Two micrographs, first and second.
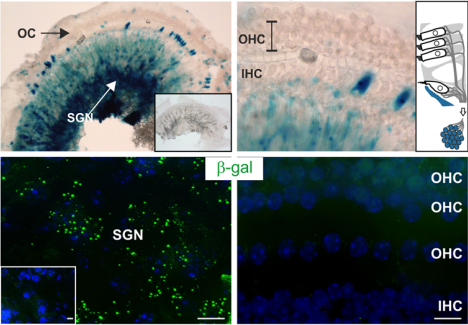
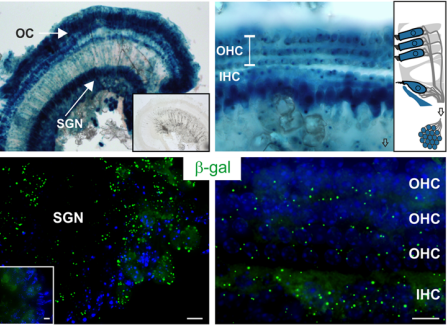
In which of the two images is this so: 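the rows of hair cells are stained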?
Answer: The second image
